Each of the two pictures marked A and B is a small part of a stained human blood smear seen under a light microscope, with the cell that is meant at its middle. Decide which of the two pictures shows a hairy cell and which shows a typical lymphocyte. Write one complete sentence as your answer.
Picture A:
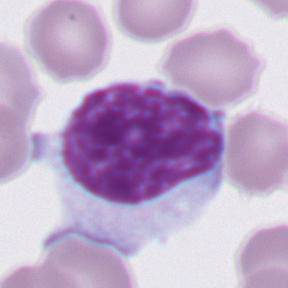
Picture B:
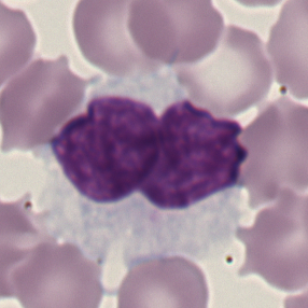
It is picture A that shows a typical lymphocyte, and picture B that shows a hairy cell.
